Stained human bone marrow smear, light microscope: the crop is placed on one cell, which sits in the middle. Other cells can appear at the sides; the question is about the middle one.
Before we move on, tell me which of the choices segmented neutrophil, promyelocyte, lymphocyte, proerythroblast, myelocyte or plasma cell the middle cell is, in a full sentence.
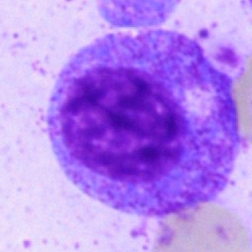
In this crop, the cell at the very middle is a promyelocyte.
